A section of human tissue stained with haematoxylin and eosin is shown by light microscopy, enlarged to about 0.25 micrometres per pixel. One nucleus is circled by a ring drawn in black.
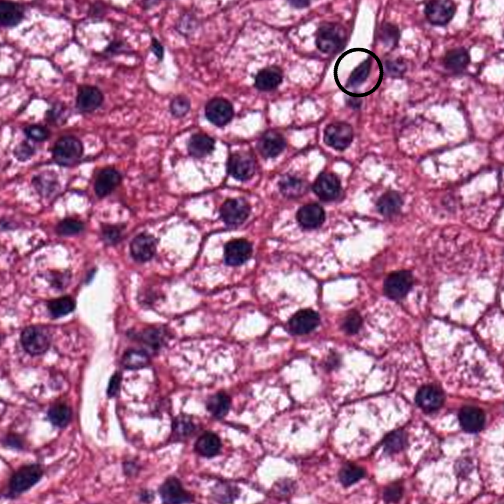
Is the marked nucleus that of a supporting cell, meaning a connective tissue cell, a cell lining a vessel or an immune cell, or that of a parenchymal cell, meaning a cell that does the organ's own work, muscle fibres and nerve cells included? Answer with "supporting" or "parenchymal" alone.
supporting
